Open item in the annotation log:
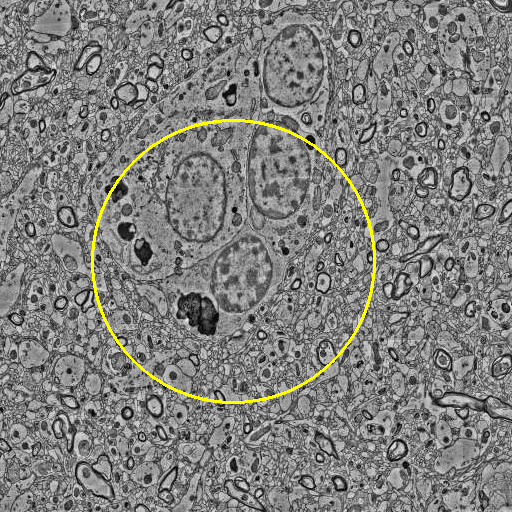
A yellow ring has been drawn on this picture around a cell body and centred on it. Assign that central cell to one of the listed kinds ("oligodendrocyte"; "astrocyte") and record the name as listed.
oligodendrocyte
